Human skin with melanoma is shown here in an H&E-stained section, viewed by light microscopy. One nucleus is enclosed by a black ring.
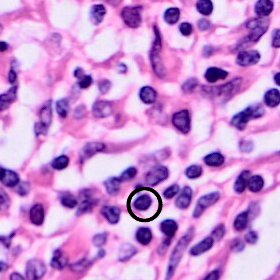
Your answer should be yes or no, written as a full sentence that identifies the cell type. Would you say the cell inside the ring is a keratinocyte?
No, by cell type the cell inside the ring is a lymphocyte, not a keratinocyte.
